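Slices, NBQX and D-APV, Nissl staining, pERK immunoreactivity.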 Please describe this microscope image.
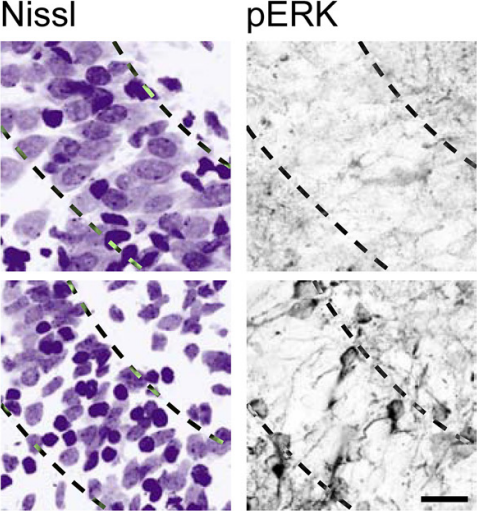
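These images show the pyramidal cell layer of the hippocampus. It is a diagonal band, marked by dashed lines, of densely packed neuronal cell bodies. Some smaller, darker and more compact purple profiles also lie among them. In the grey-scale images the upper one shows only faint, fine, thread-like labelling, whereas the lower one shows several darkly labelled cell bodies in the band, with processes running out from them.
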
